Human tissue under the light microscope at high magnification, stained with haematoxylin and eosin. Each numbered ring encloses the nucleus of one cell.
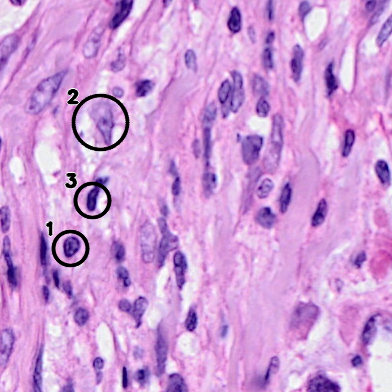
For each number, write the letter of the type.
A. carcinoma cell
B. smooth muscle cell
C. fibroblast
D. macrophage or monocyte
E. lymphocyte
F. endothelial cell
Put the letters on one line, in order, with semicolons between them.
E; C; E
